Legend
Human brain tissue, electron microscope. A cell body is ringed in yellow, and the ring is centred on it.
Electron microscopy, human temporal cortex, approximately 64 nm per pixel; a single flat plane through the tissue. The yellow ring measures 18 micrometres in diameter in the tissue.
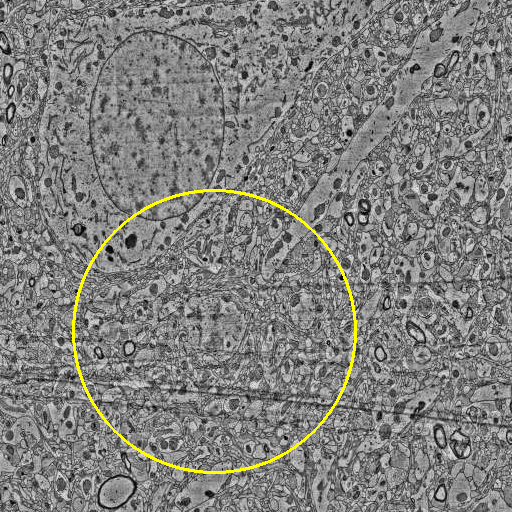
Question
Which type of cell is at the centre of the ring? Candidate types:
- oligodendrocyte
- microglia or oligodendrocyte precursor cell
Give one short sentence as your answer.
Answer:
The yellow ring is centred here on a microglial cell or oligodendrocyte precursor cell.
